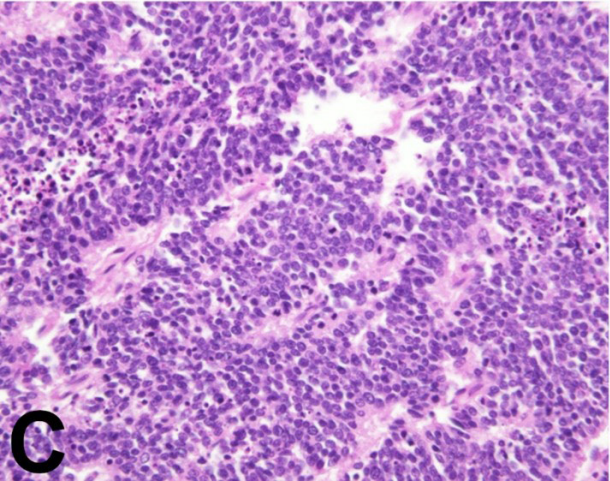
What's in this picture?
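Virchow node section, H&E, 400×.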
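Thin pale pink strands of stroma and a few small clear spaces break up the sheet. At the left edge there are scattered dark fragments of nuclear debris, consistent with necrosis. There is no glandular or keratinising differentiation.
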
